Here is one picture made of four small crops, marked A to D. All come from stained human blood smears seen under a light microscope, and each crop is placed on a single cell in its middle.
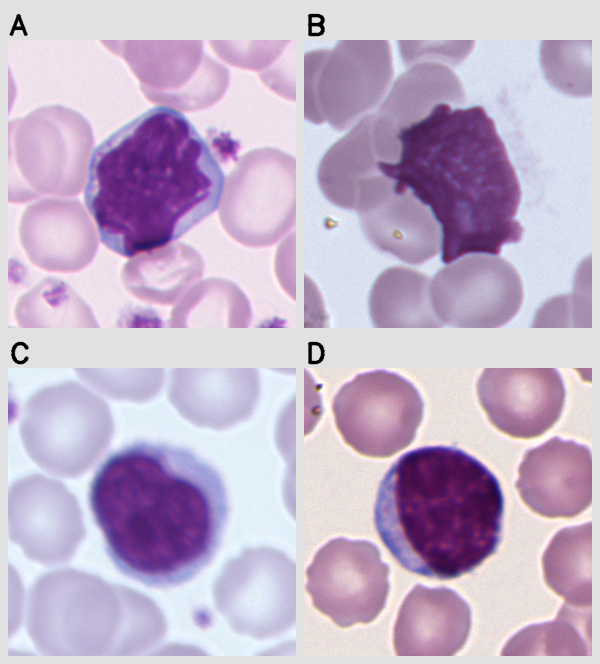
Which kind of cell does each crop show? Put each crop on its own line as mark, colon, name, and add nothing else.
A: typical lymphocyte
B: smudge cell
C: typical lymphocyte
D: typical lymphocyte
